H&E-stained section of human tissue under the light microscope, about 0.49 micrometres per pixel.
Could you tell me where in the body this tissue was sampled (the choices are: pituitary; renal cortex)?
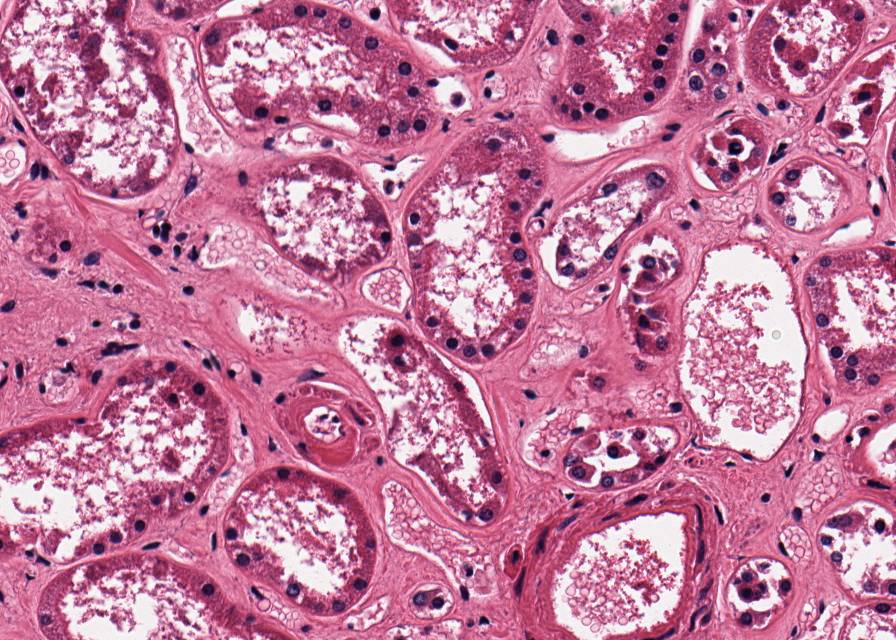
renal cortex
